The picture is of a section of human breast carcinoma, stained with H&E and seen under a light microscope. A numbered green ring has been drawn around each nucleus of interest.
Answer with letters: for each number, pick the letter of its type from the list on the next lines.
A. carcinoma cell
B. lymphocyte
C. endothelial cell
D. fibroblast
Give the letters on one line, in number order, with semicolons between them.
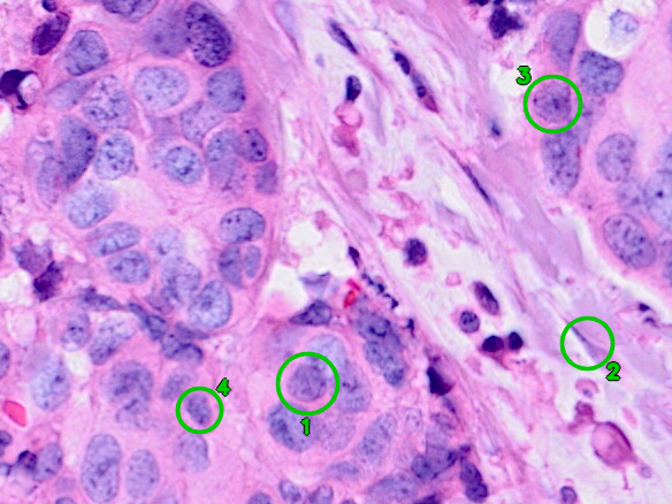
A; D; A; A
